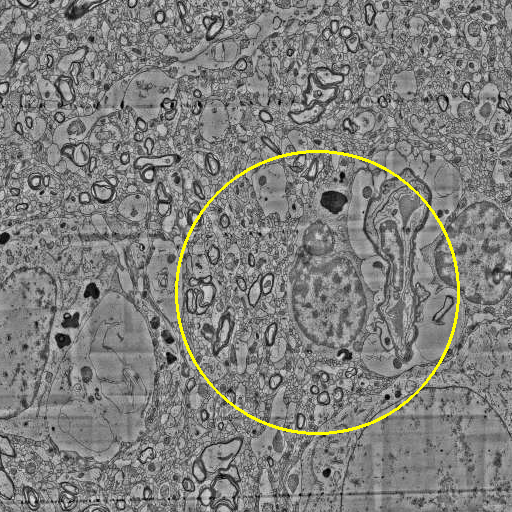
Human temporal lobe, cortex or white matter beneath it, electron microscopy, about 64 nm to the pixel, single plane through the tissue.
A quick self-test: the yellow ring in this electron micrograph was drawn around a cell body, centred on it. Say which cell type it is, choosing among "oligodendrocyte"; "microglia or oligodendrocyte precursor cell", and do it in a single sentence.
The yellow-ringed cell is an oligodendrocyte.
